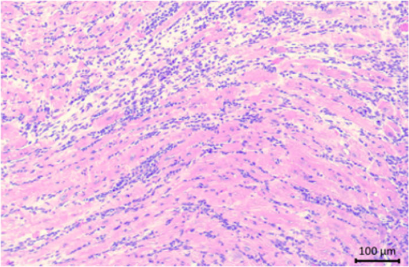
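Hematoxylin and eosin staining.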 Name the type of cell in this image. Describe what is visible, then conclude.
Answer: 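Many small dark purple nuclei fill the spaces between pink muscle fibers. The cells form bands running along the fibers. On this evidence: infiltrating inflammatory cells.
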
